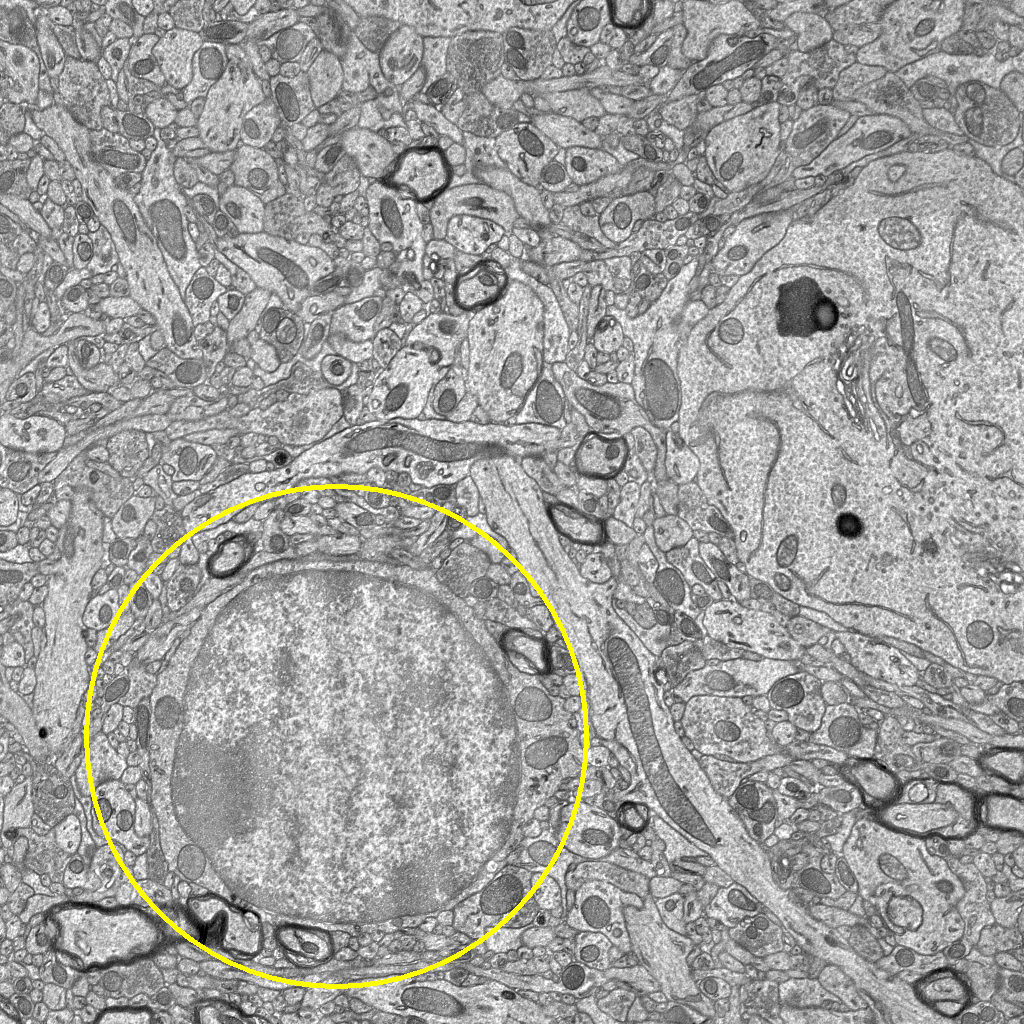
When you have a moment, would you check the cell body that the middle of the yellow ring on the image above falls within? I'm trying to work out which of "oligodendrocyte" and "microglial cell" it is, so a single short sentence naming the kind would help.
This cell body belongs to an oligodendrocyte.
